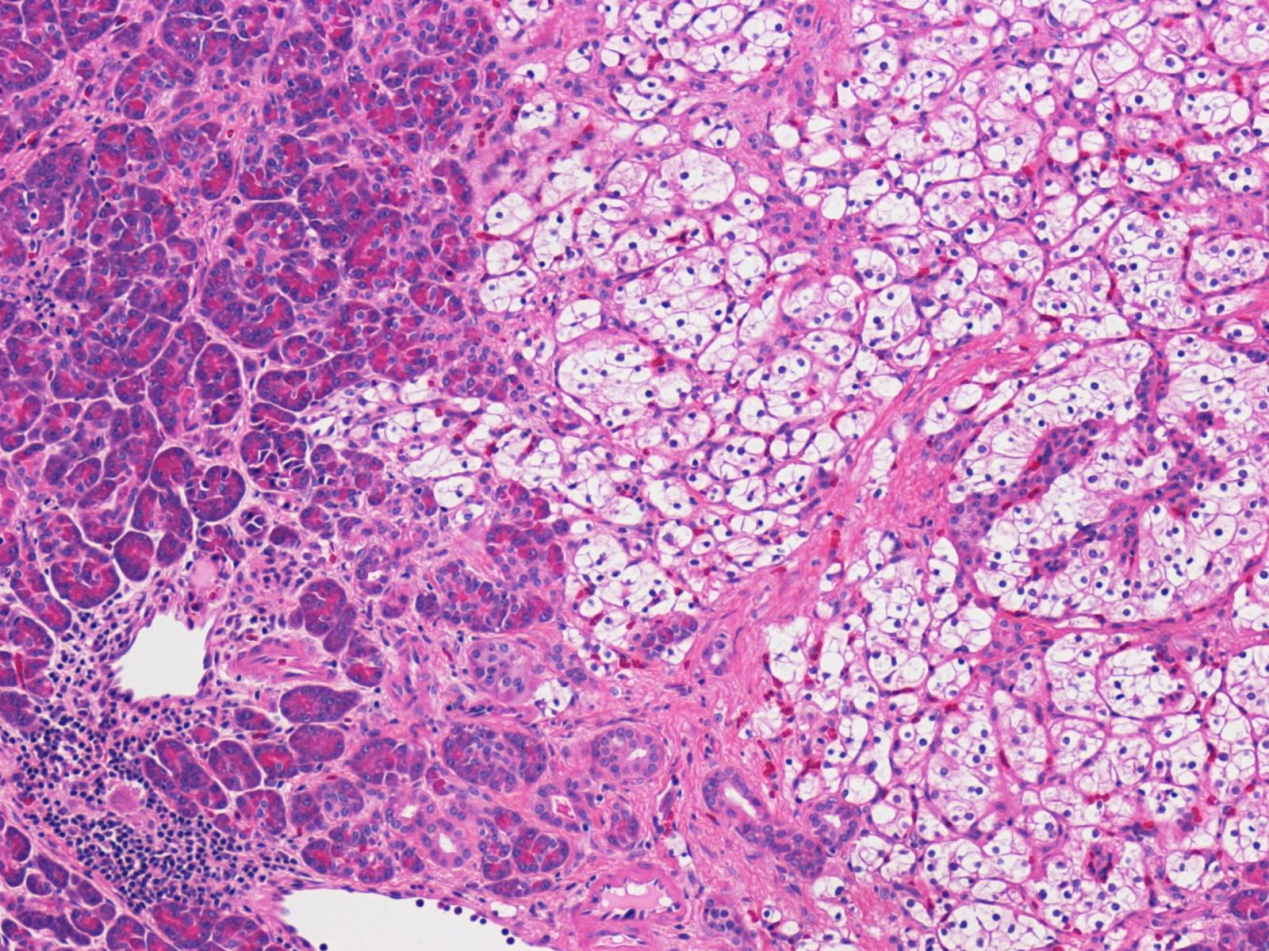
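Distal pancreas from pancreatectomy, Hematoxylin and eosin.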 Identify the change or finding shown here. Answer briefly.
Metastatic renal cell carcinoma, clear cell type.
